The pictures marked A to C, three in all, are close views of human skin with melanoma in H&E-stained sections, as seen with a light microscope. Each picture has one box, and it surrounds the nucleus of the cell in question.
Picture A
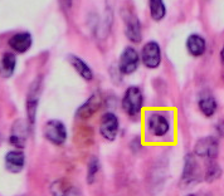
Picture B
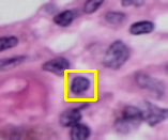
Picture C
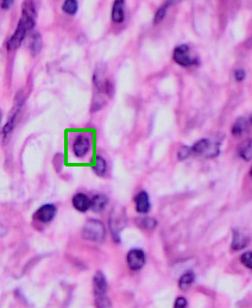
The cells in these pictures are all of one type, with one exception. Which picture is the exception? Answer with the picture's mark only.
B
